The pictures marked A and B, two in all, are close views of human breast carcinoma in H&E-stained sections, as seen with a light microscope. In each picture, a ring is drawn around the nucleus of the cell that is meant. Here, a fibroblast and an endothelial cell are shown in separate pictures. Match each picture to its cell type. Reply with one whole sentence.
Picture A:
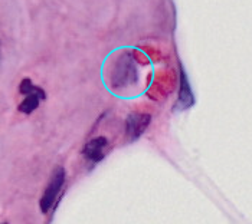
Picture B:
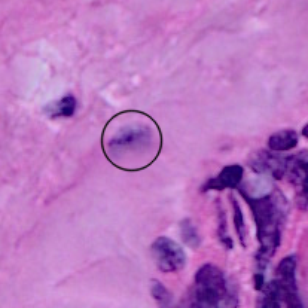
It is picture A that shows an endothelial cell, and picture B that shows a fibroblast.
